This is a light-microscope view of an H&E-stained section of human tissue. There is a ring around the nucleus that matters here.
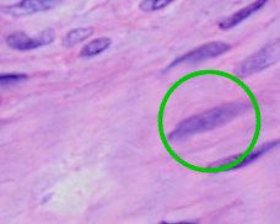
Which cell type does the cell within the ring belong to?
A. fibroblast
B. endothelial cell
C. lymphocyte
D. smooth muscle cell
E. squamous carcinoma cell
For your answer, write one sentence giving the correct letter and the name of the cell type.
Option A names it right: the cell within the ring is a fibroblast.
